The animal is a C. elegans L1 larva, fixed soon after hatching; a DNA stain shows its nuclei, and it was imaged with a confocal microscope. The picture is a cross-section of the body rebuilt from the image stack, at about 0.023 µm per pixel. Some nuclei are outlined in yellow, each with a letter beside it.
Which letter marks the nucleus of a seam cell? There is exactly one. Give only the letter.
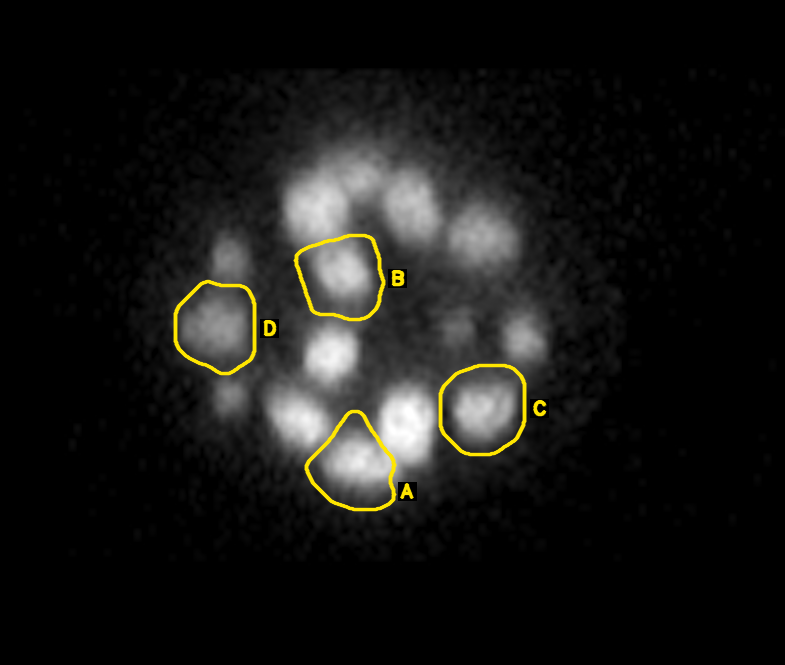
A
